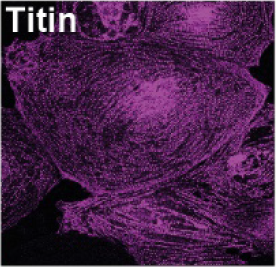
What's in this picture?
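Large, flat, spread cardiomyocytes fill the field, their cytoplasm full of magenta fibrils. The fibrils show fine, regular cross-striation, the banding of sarcomeres arranged in myofibrils. Cell borders are visible where neighbouring cells meet.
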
